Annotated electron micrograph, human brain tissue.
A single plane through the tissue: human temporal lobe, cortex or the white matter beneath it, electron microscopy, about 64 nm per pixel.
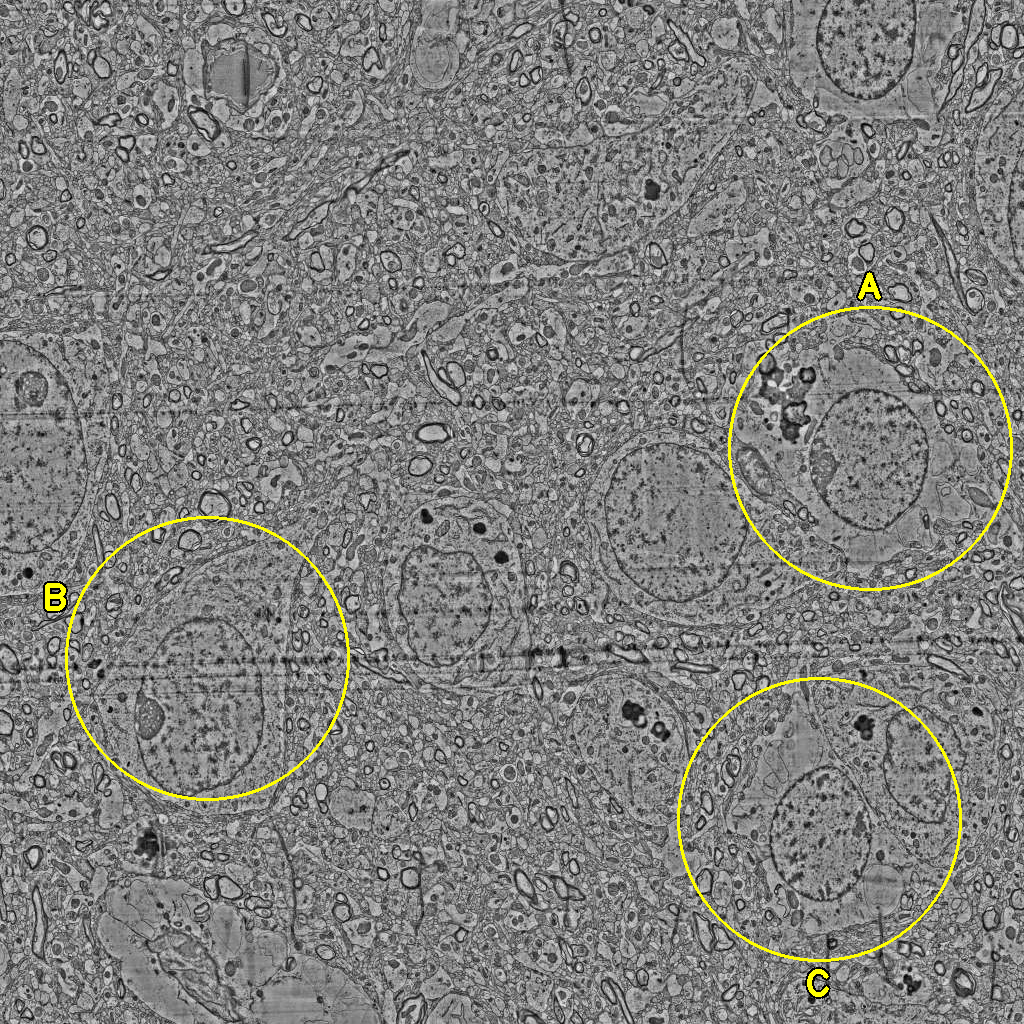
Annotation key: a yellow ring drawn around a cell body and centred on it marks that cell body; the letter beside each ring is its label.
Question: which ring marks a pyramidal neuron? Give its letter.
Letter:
B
